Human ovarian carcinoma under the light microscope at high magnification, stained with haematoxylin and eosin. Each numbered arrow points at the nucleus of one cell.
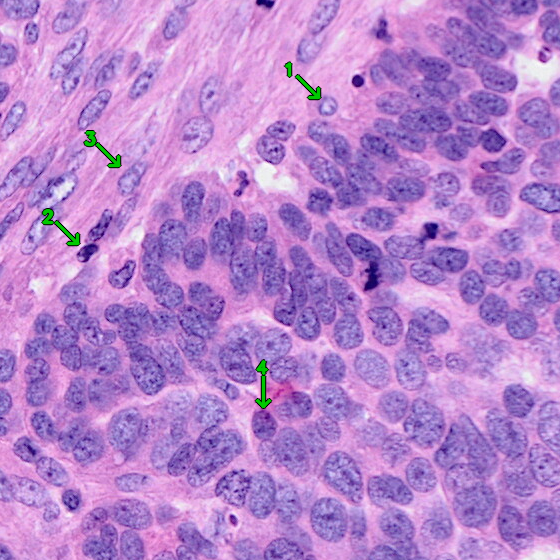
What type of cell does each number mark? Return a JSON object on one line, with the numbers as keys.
{"1": "fibroblast", "2": "lymphocyte", "3": "fibroblast", "4": "carcinoma cell"}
